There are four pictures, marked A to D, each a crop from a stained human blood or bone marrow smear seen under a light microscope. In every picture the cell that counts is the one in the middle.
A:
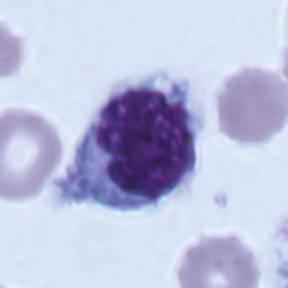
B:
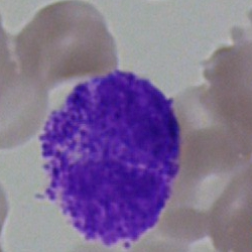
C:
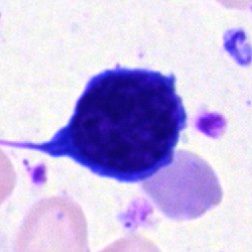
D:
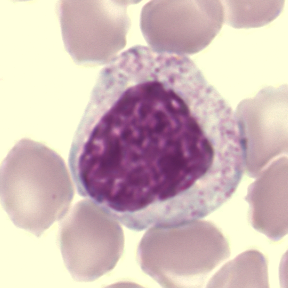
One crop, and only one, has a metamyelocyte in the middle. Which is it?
D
